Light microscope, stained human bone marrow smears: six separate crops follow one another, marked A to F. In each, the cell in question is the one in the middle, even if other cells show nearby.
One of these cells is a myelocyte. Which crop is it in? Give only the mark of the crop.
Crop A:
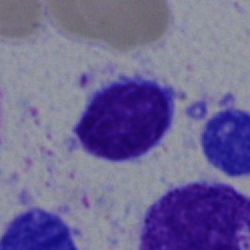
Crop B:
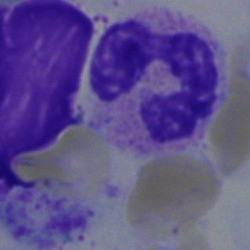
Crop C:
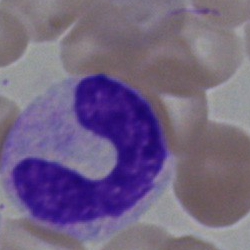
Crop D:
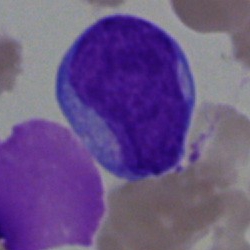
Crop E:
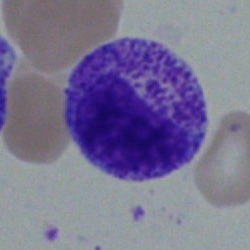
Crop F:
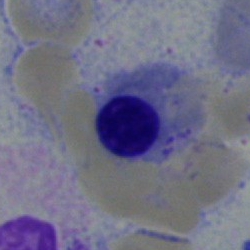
E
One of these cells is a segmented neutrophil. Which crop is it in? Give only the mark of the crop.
B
